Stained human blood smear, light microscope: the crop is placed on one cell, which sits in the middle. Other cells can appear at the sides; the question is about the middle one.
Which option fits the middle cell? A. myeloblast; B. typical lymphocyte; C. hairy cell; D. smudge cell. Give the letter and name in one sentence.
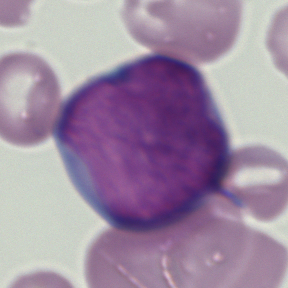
The central cell in this crop is a myeloblast, so the correct choice is option A.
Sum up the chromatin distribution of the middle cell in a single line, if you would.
No coarse chromatin clumps are present; the pattern is fine.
